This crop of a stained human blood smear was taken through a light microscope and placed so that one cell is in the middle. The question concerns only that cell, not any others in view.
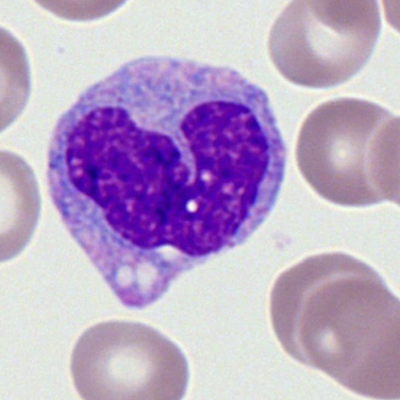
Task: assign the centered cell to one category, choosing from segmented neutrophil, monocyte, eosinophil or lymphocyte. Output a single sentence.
The cell occupying the middle of the crop is a monocyte.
